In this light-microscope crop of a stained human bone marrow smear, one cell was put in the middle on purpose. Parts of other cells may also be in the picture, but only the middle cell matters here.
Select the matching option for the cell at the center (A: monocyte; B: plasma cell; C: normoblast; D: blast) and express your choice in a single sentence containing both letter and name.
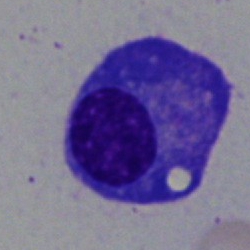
In this crop the central cell is a plasma cell, which option B correctly states.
